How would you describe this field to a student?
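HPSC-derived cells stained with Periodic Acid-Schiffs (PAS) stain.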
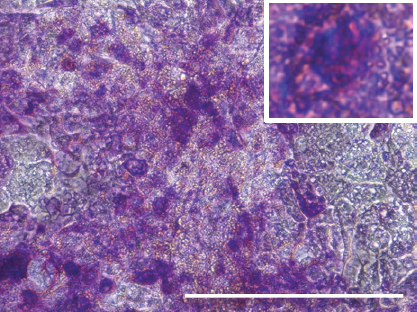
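These are cultured hepatocytes in a dense, continuous sheet of closely packed polygonal cells. Many of them carry purple-magenta staining in their cytoplasm, distributed in uneven patches across the field, while other areas look paler and greyish.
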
